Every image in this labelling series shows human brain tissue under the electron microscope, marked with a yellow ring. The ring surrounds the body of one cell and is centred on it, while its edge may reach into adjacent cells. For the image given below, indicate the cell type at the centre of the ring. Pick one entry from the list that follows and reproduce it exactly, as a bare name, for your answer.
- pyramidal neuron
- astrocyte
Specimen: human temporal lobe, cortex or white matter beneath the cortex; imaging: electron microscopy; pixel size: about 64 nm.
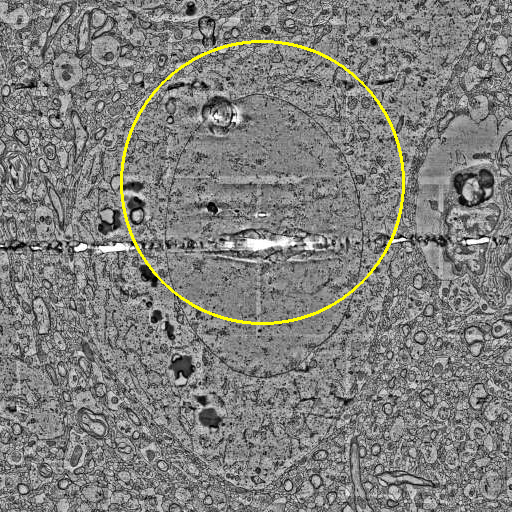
pyramidal neuron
